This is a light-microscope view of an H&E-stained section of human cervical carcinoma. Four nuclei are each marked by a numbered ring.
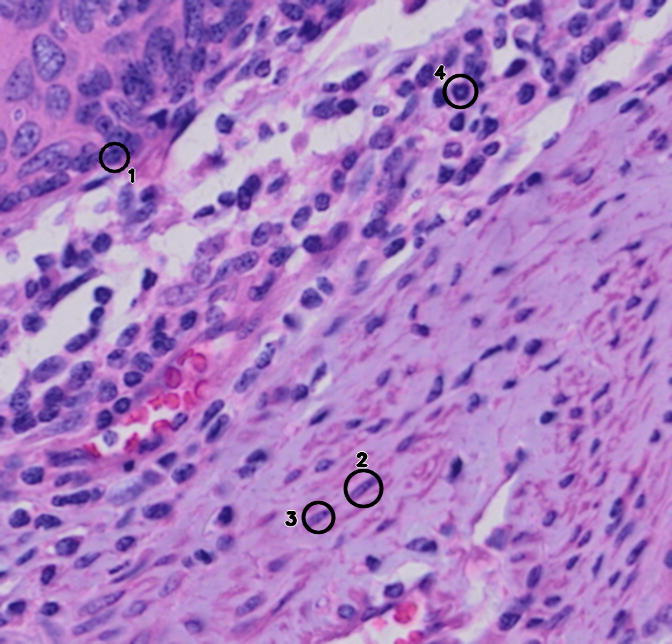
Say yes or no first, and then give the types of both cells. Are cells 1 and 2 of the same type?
No, in this section cell 1 is a squamous carcinoma cell and cell 2 is a smooth muscle cell.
